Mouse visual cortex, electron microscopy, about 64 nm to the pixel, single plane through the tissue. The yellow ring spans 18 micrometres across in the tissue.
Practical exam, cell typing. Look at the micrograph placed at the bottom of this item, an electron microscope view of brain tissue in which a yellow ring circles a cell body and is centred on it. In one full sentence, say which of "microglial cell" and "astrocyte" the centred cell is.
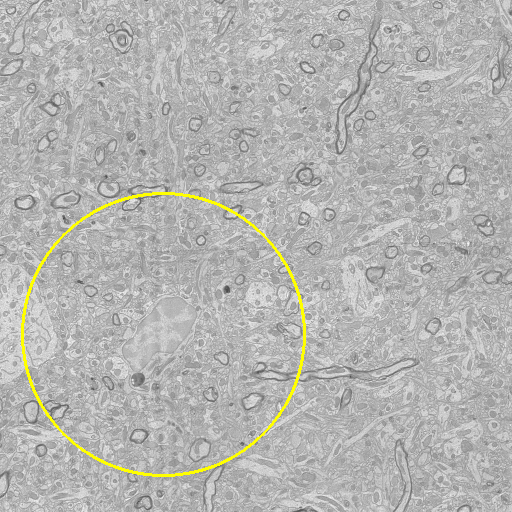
Given the options, a microglial cell fits the cell whose body the yellow ring is centred on.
